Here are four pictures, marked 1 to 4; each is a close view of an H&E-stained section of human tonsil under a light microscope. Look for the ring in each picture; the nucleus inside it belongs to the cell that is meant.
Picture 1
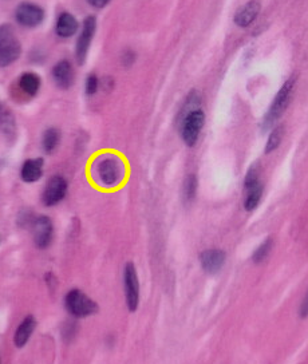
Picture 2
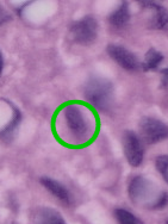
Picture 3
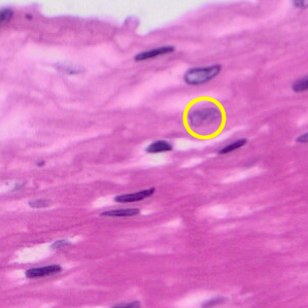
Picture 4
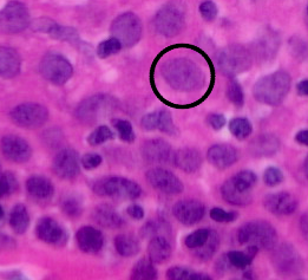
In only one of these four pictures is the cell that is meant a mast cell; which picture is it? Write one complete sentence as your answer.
The picture with the mast cell is 1.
